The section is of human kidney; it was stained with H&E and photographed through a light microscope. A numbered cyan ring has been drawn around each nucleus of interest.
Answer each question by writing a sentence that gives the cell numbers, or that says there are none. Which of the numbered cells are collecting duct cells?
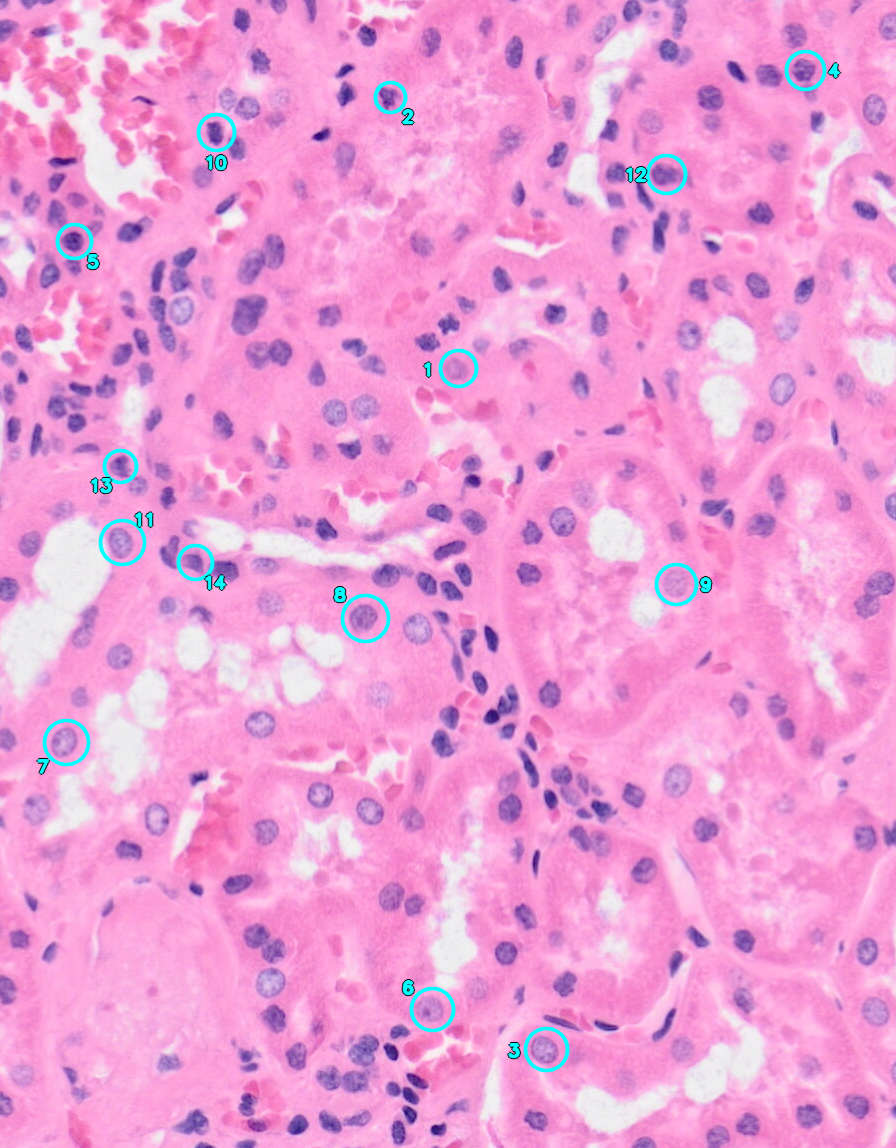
Cells 5, 13 and 14 are collecting duct cells by cell type.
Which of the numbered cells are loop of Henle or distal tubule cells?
The cells tagged with numbers 1, 10 and 11 are loop of Henle or distal tubule cells.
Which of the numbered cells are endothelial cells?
Classed by type, none of the numbered cells are endothelial cells.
